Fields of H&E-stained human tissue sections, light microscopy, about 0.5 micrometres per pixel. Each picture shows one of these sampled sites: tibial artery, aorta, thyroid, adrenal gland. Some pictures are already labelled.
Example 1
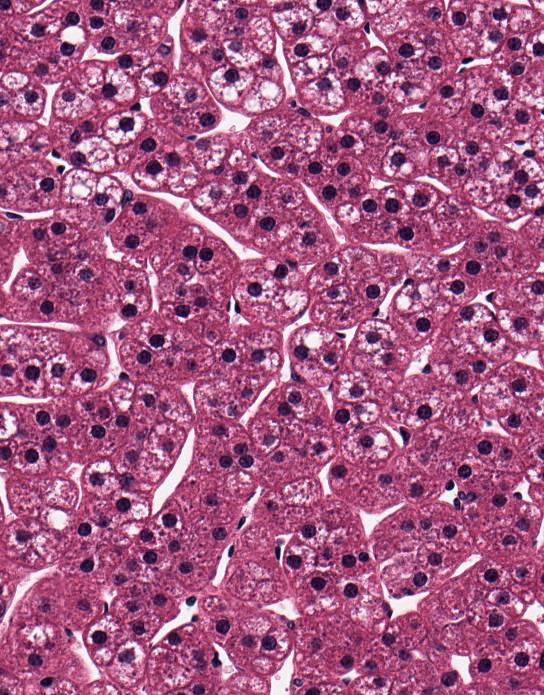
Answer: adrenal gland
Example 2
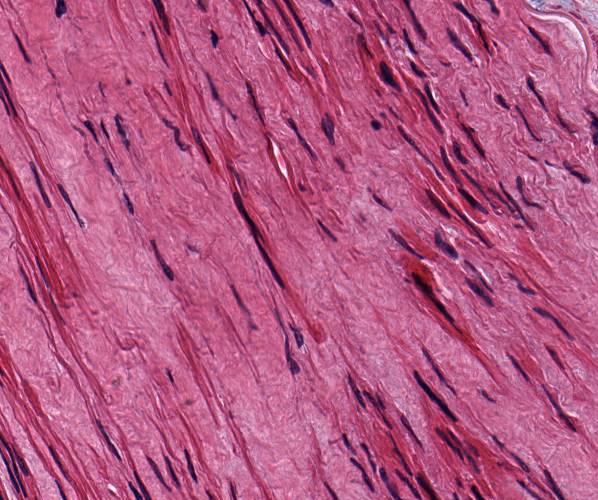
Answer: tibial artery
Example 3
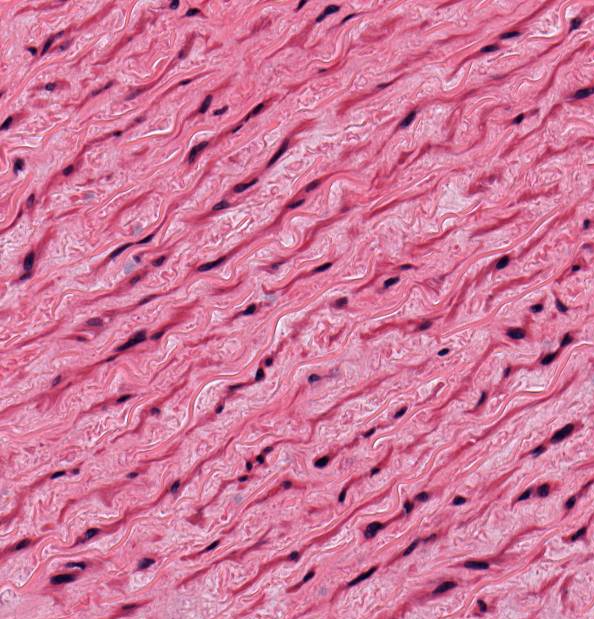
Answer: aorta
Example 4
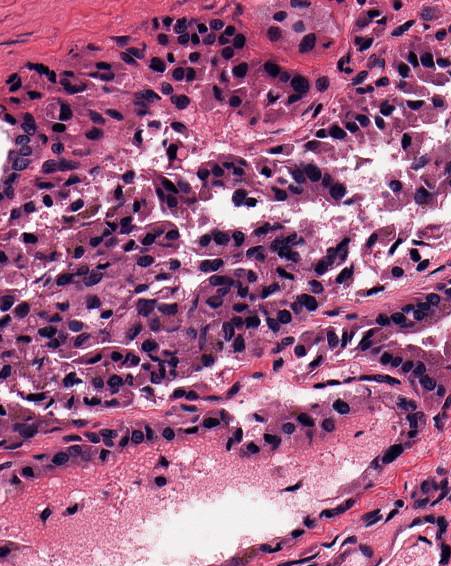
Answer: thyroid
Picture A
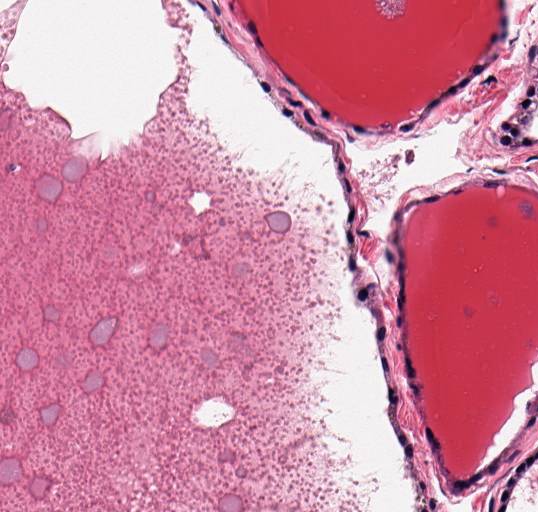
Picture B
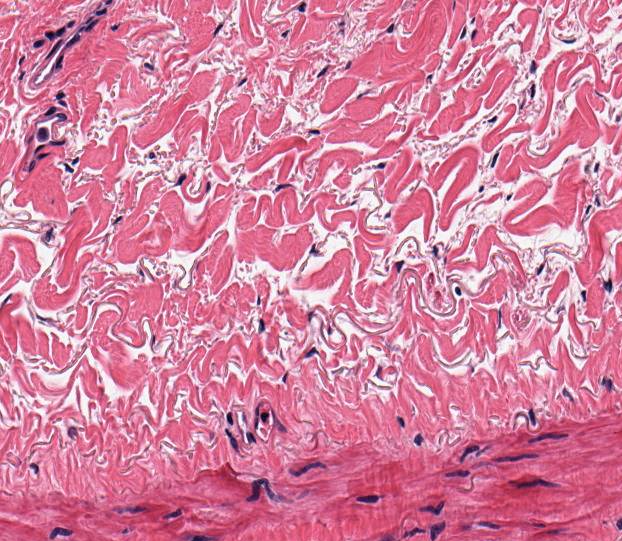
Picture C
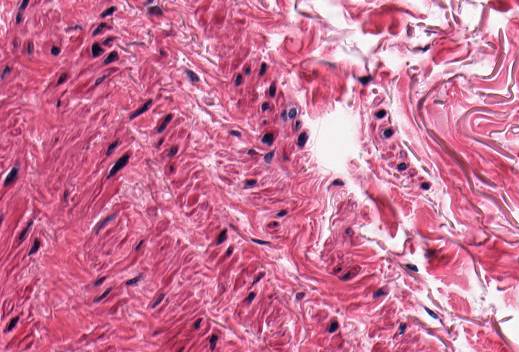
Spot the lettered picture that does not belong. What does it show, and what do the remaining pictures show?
Exception: A, showing thyroid. Remaining pictures: tibial artery.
